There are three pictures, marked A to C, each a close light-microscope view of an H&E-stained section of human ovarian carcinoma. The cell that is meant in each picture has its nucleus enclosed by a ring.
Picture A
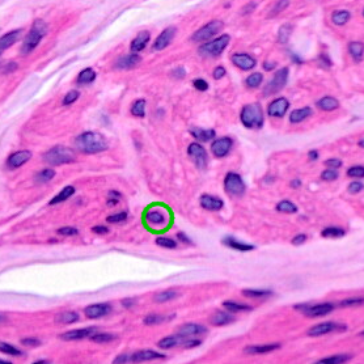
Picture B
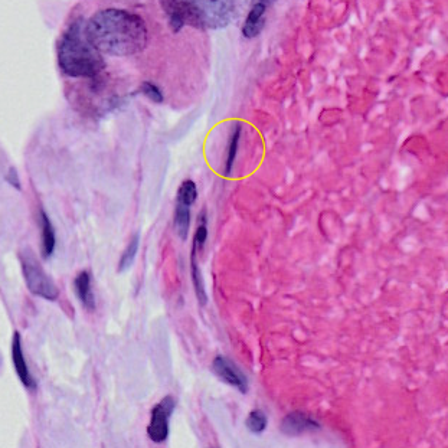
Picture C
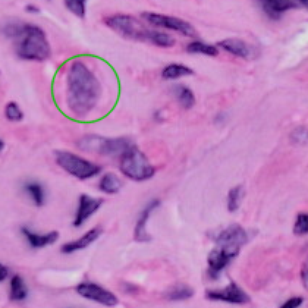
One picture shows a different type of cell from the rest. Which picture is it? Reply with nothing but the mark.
A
